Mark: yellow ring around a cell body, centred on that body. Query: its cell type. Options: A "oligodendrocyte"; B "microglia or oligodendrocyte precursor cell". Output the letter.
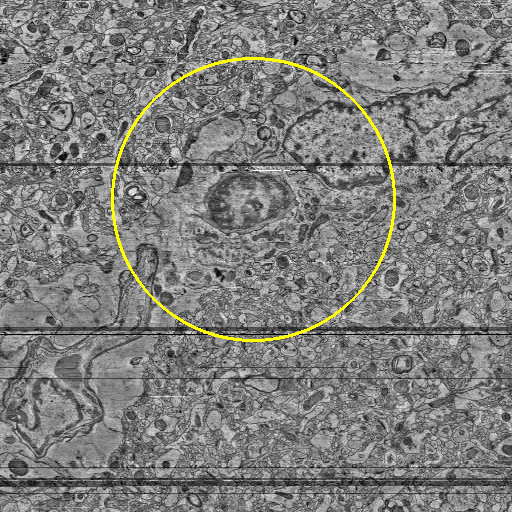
A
